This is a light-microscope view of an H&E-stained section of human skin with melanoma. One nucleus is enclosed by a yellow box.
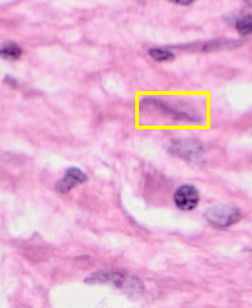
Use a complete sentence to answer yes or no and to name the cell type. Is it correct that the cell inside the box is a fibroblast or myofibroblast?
Yes, classifying the cell inside the box as a fibroblast or myofibroblast is accurate.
